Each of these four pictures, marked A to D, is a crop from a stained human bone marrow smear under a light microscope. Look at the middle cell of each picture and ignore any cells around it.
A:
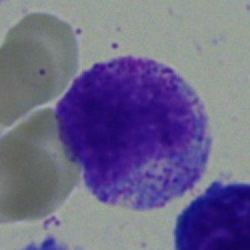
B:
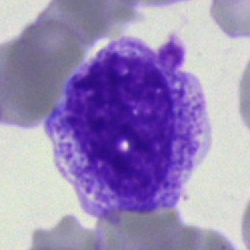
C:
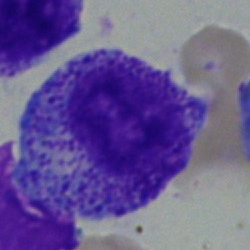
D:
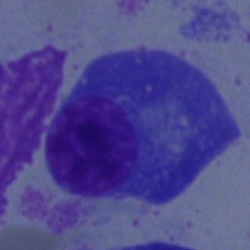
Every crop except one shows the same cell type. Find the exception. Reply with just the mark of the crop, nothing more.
D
